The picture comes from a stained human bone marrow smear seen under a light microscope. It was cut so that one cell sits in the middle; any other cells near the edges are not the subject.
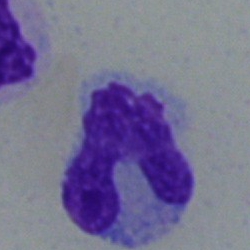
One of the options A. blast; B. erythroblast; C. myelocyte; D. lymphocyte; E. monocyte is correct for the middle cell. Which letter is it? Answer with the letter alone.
E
